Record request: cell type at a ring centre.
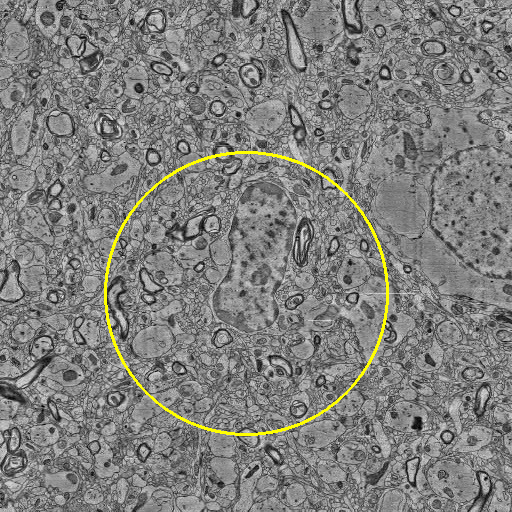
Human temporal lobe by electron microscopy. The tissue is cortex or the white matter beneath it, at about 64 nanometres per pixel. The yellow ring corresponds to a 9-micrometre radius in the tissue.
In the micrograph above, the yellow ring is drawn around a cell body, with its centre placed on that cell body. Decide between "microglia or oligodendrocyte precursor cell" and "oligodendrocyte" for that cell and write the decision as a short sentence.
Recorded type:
The cell centred in the yellow ring is a microglial cell or oligodendrocyte precursor cell.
